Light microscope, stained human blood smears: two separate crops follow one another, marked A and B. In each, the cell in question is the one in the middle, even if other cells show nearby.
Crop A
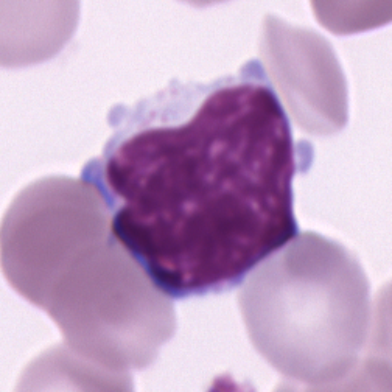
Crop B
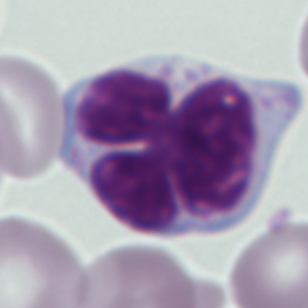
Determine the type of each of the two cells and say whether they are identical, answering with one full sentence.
Yes, with regard to both crops, the central cells are large granular lymphocytes.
